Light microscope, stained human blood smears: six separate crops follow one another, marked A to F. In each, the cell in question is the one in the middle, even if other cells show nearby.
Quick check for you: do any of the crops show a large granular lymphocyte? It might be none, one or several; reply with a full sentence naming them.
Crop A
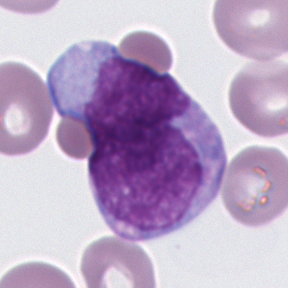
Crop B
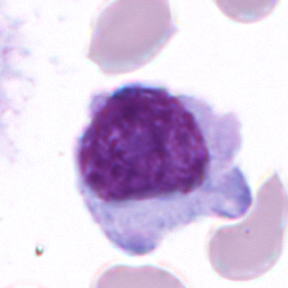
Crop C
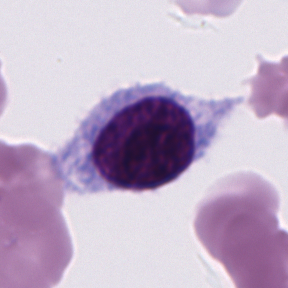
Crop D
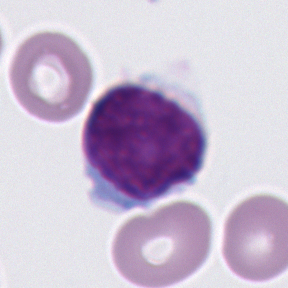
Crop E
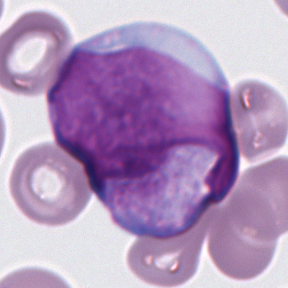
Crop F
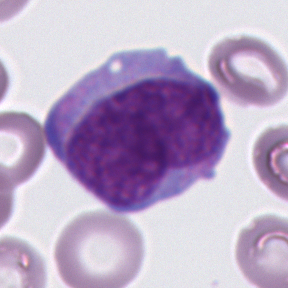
The crops contain no instance of a large granular lymphocyte at their centres.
